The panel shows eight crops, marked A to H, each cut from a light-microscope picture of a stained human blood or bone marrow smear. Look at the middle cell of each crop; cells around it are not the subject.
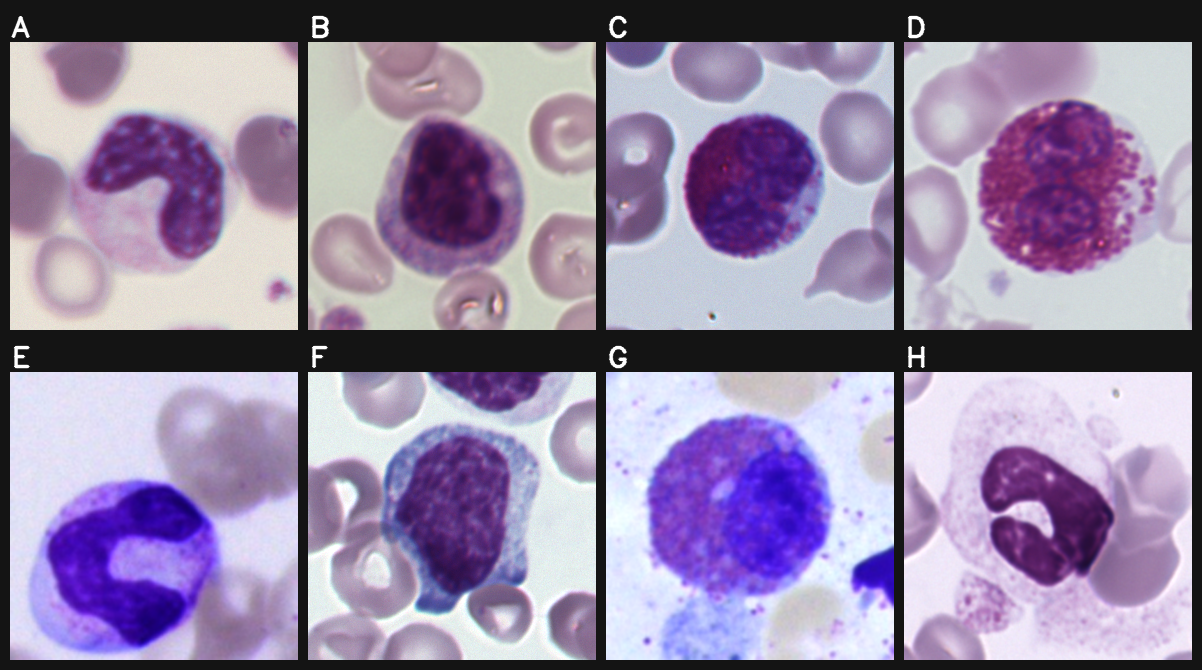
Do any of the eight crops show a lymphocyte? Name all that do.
none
